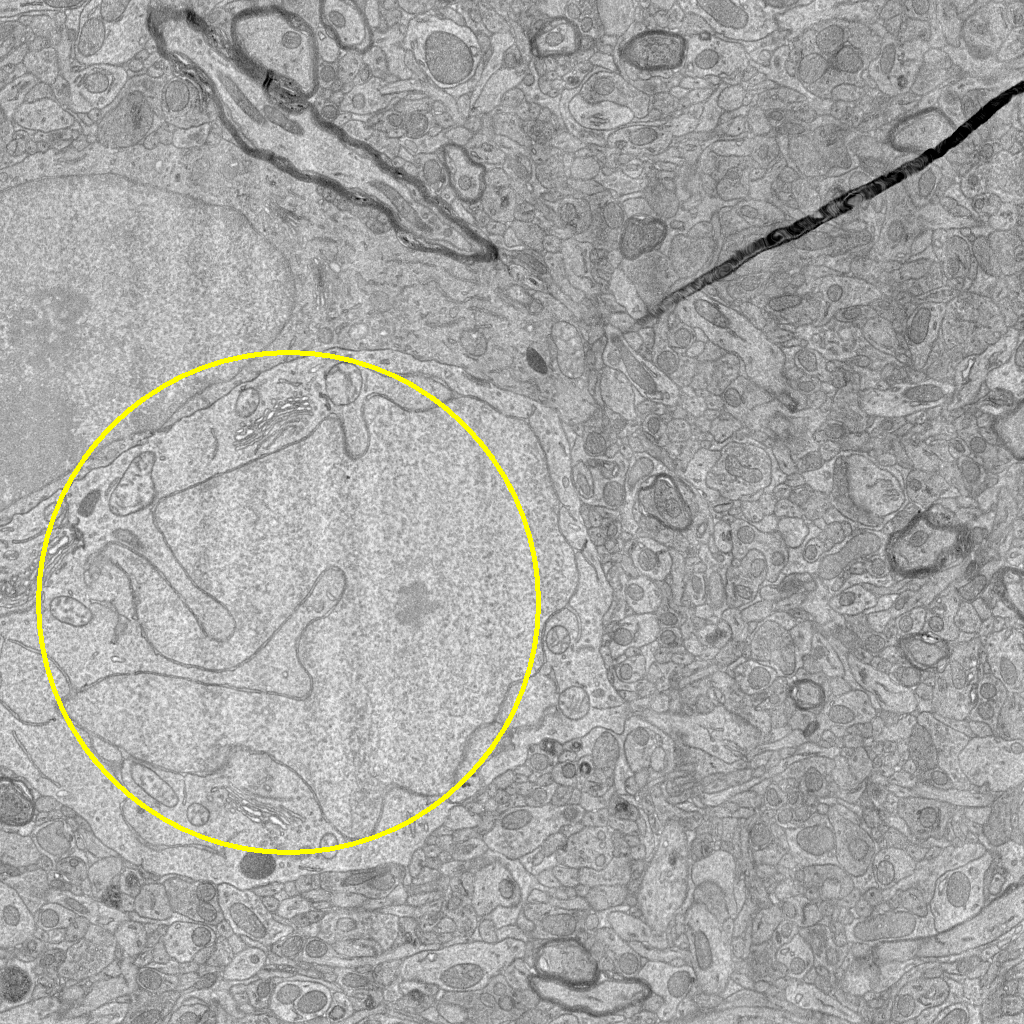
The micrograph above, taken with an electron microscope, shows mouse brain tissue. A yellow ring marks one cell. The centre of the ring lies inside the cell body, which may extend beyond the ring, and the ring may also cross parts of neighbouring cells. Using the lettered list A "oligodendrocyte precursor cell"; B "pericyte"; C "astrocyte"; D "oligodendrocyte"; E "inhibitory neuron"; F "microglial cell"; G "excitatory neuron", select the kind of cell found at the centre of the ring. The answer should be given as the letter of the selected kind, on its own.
E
